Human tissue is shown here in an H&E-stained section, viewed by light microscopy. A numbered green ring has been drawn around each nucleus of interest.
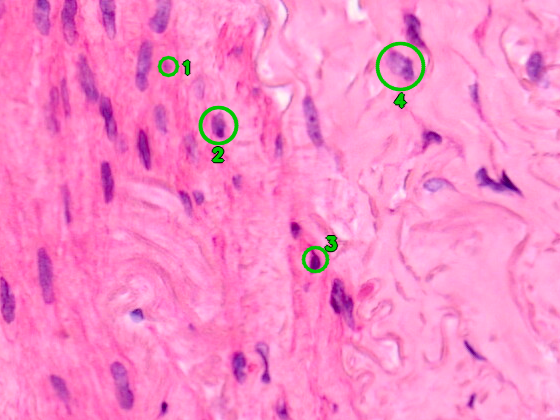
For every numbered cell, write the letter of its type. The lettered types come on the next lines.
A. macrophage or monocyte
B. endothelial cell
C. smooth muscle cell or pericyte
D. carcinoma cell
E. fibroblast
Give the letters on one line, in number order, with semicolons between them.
C; C; C; E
